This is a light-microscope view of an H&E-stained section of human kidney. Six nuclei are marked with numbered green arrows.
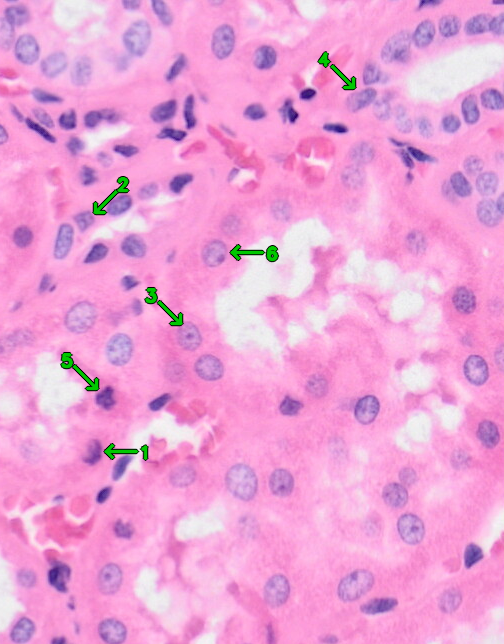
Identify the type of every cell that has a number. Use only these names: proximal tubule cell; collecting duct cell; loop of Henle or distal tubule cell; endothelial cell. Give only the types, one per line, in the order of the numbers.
proximal tubule cell
collecting duct cell
proximal tubule cell
collecting duct cell
proximal tubule cell
proximal tubule cell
